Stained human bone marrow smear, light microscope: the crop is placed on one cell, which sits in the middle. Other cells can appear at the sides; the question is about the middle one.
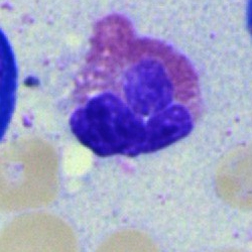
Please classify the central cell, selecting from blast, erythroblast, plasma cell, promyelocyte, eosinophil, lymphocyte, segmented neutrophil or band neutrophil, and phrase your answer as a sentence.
The center cell of this crop is an eosinophil.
